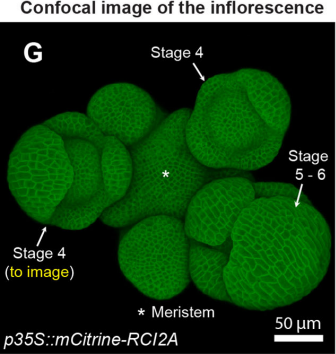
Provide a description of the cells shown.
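The surface cells appear as a fine polygonal network of bright green outlines with dark interiors. The central dome is made of small, fairly uniform cells. The surrounding buds are rounded, and the larger ones show lobes or flaps folding over their tops. The largest bud, toward the lower right, is nearly closed over by these overlapping flaps, while smaller buds at the edges are more simply dome-shaped.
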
